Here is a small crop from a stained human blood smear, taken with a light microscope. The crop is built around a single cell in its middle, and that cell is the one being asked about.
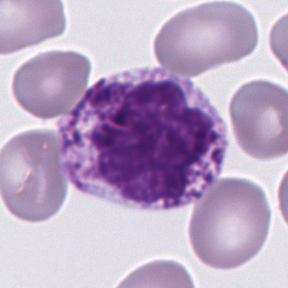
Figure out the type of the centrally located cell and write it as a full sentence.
Where the crop is centred, there is a basophil.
